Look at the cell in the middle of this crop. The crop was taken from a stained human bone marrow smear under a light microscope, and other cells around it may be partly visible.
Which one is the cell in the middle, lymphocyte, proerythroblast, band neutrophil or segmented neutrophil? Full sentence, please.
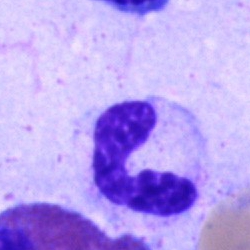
In the centre of this crop there is a band neutrophil.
